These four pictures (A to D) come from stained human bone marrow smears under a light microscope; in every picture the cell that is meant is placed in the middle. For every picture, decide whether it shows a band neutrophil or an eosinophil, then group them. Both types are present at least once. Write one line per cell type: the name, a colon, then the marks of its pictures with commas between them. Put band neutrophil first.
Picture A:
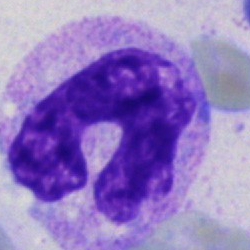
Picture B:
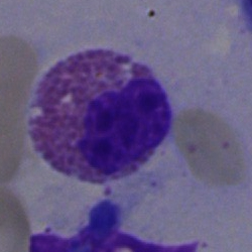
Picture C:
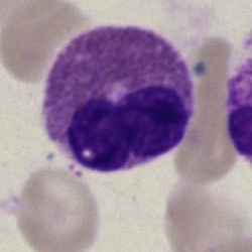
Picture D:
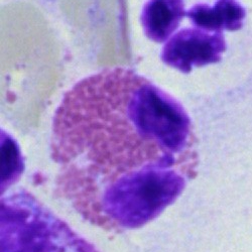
band neutrophil: A
eosinophil: B, C, D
